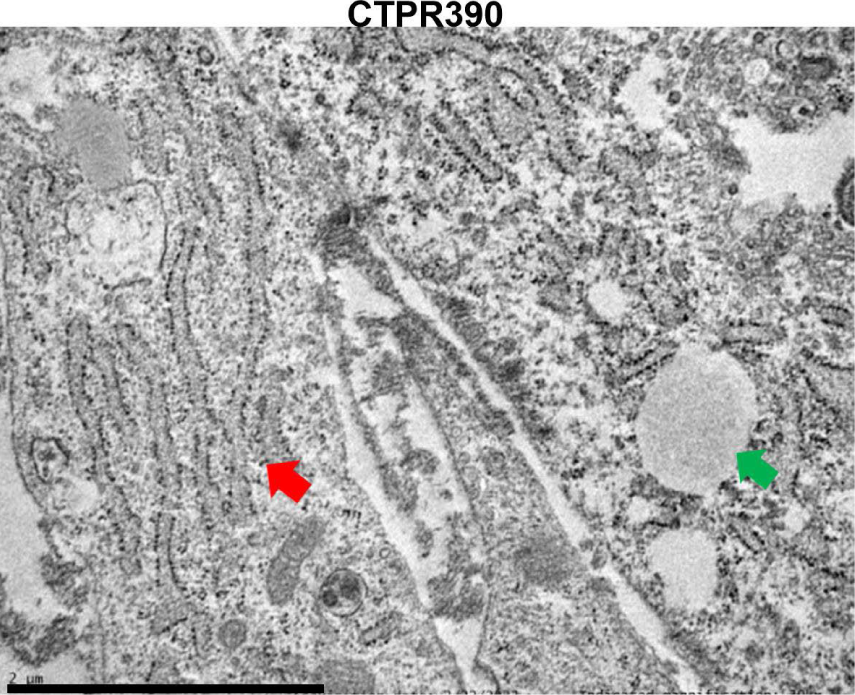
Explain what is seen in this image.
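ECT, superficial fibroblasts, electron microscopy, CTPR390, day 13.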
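The cisternae are narrow and regularly stacked. A round, pale, homogeneous vacuole lies to the right, and small dense organelles are scattered between the membrane stacks. Adjacent cells are separated by thin, elongated cell boundaries running diagonally.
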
